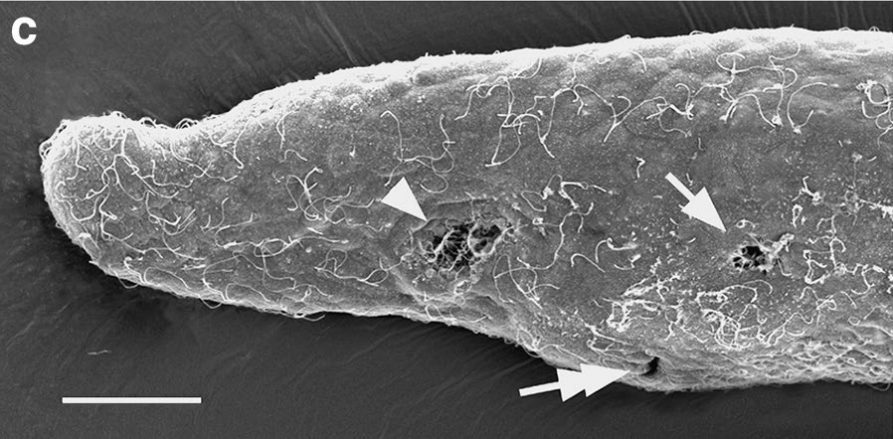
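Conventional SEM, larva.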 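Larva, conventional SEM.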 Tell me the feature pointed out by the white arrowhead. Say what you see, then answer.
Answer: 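Preoral ciliated pit. The arrowhead points to a depression in the surface with tangled fibres inside it. The depression lies between the front tip and the opening marked by the arrow.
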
